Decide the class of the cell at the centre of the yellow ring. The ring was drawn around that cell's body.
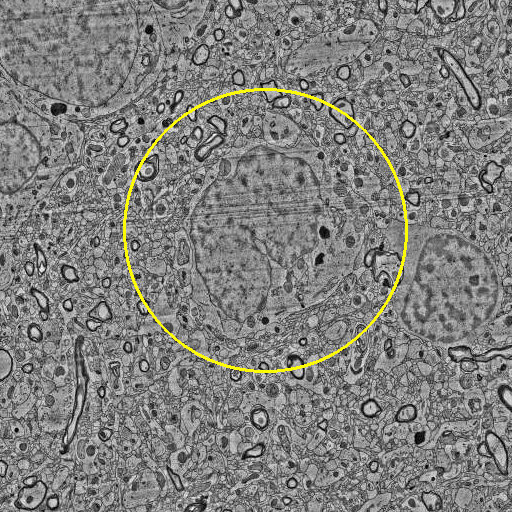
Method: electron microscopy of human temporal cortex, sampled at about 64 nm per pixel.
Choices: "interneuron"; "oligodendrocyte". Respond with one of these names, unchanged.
interneuron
